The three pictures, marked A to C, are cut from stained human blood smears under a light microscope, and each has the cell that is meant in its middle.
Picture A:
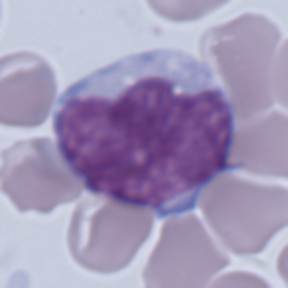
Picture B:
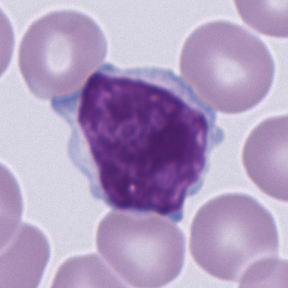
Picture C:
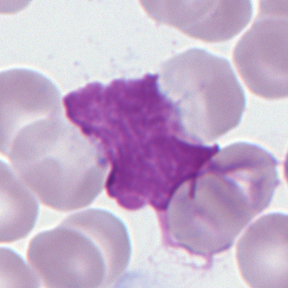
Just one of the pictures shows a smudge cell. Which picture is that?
C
